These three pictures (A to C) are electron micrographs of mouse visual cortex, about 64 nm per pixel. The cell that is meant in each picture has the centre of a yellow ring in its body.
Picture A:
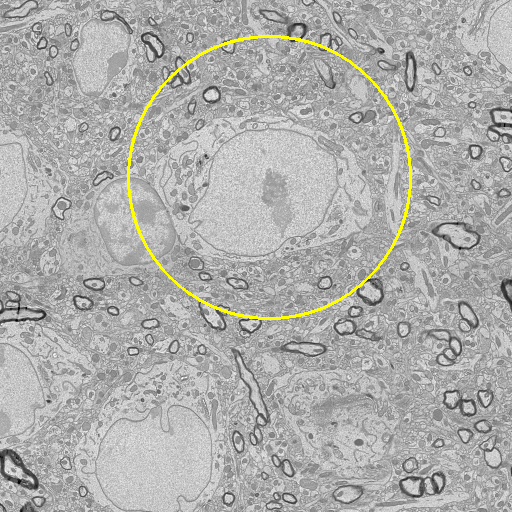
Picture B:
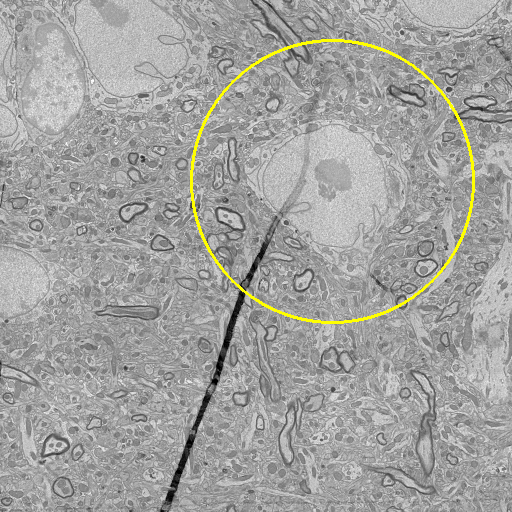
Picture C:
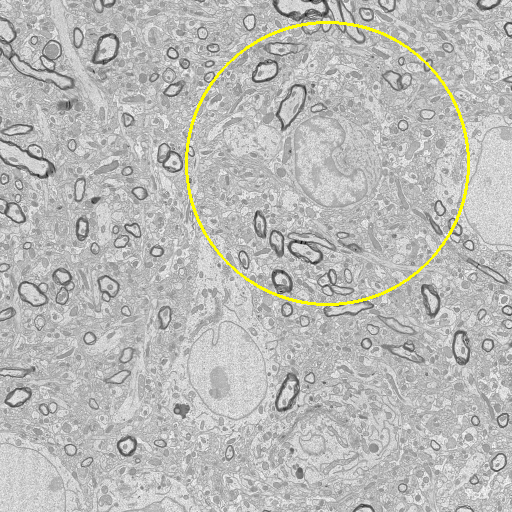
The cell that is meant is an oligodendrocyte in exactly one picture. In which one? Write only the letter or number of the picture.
C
